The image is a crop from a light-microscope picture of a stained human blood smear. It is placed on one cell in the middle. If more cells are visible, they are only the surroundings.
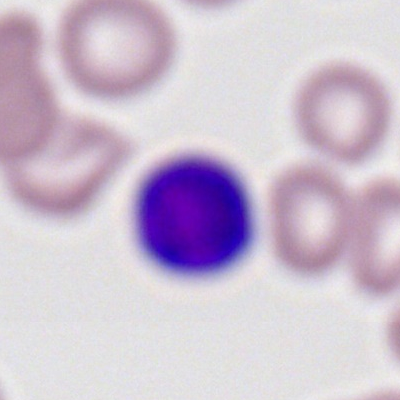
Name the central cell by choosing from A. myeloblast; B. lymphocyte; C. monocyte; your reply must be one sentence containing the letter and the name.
The cell occupying the centre is a lymphocyte; option B is thus the correct choice.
